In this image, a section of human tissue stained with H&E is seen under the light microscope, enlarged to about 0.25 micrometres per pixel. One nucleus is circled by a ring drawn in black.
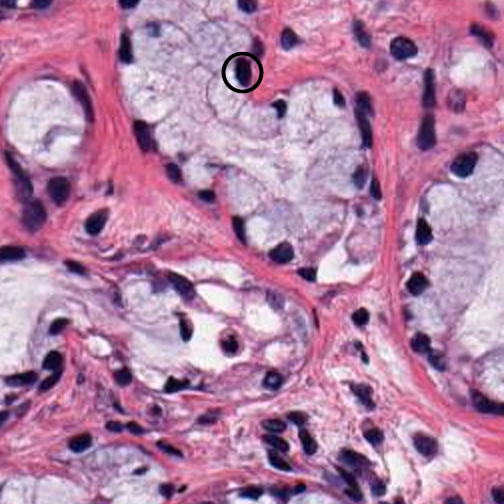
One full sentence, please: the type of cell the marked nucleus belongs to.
The marked nucleus is seen to belong to a mucous gland cell.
